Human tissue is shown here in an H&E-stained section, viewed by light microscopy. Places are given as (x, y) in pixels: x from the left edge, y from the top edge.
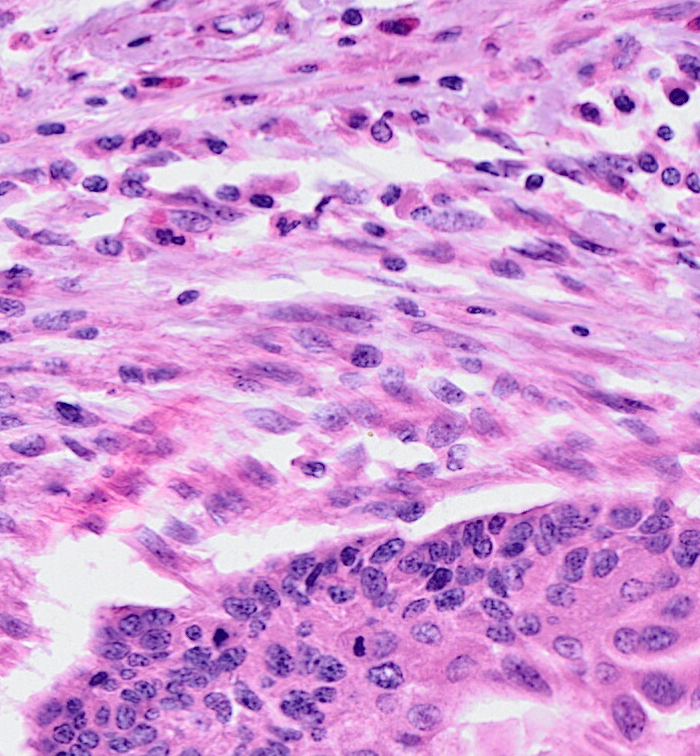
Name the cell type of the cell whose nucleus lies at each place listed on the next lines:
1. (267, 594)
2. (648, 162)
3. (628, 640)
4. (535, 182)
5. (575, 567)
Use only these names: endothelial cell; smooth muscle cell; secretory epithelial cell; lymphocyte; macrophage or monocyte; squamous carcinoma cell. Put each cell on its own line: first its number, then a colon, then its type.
1: squamous carcinoma cell
2: lymphocyte
3: squamous carcinoma cell
4: lymphocyte
5: squamous carcinoma cell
